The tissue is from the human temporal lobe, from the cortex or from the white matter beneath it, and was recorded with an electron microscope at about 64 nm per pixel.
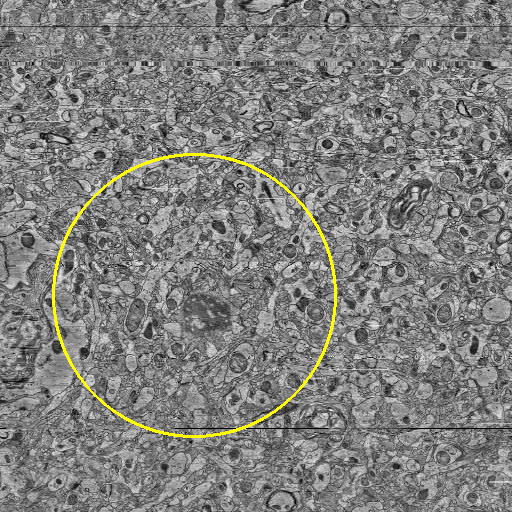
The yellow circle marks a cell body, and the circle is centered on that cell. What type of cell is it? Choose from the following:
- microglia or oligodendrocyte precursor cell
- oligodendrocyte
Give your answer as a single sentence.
This cell body belongs to an oligodendrocyte.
